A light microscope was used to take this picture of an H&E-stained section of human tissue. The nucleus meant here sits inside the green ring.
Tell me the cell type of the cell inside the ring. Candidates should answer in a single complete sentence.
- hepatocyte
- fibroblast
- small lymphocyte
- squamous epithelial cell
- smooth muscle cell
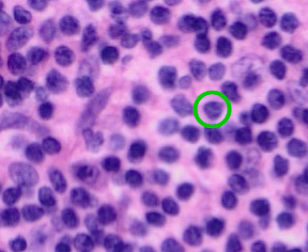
The classification of the cell inside the ring is as a small lymphocyte.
